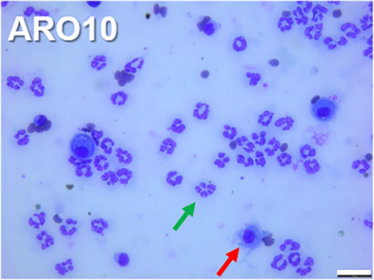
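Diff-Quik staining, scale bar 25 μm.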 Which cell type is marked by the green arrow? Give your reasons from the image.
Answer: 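The arrowed cell has a dark purple nucleus split into several lobes. The arrowed cell shows little visible cytoplasm around its nucleus. Many similar lobed-nucleus cells fill the field.
Conclusion: neutrophils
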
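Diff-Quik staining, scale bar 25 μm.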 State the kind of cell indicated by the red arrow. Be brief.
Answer: Macrophages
